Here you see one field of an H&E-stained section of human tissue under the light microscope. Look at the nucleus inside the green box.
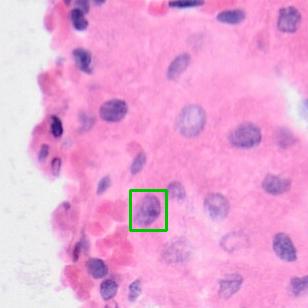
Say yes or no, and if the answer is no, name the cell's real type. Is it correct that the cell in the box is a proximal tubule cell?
Yes.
